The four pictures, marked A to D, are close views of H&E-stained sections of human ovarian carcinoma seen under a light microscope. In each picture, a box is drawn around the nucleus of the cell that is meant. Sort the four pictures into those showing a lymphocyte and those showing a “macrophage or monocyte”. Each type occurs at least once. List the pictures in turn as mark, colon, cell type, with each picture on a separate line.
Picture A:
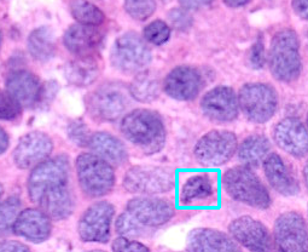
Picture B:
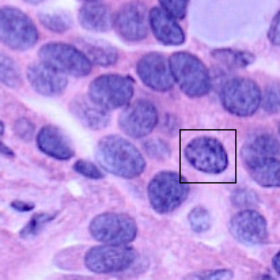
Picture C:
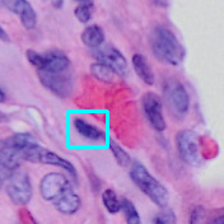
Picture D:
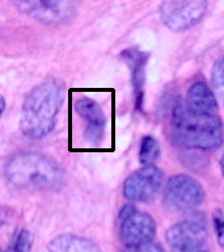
A: macrophage or monocyte
B: macrophage or monocyte
C: lymphocyte
D: macrophage or monocyte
